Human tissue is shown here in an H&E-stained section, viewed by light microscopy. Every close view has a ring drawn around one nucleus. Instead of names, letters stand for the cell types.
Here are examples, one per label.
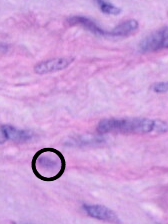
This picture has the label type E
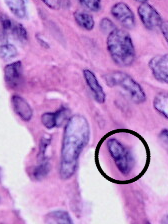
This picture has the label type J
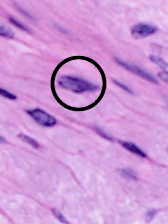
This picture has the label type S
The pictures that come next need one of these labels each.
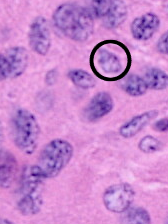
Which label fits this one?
type J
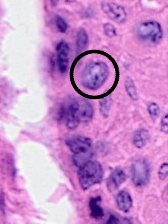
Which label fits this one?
type J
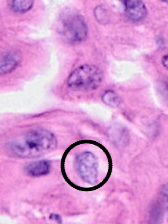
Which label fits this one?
type J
